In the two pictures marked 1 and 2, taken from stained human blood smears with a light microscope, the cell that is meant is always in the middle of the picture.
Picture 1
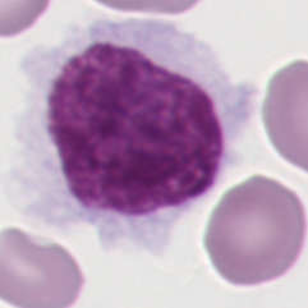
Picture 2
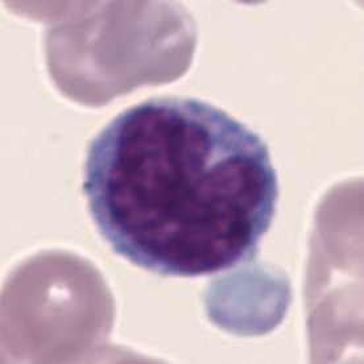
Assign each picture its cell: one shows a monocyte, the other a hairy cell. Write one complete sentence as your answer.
Picture 2 shows a monocyte, while picture 1 shows a hairy cell.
